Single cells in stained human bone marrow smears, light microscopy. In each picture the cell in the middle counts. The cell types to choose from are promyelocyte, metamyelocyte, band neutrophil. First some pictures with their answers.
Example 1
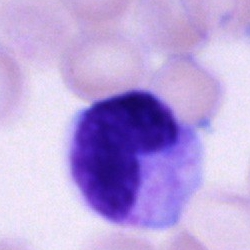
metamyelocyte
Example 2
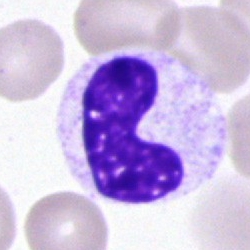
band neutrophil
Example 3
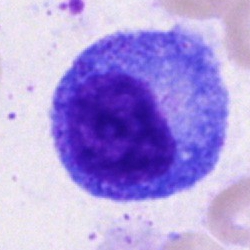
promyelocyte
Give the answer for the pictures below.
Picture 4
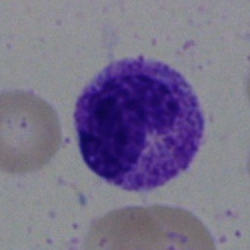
metamyelocyte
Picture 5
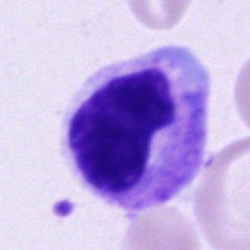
metamyelocyte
